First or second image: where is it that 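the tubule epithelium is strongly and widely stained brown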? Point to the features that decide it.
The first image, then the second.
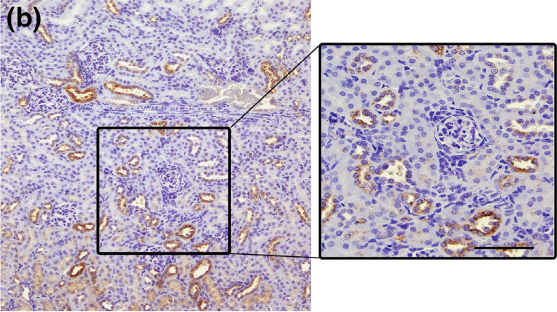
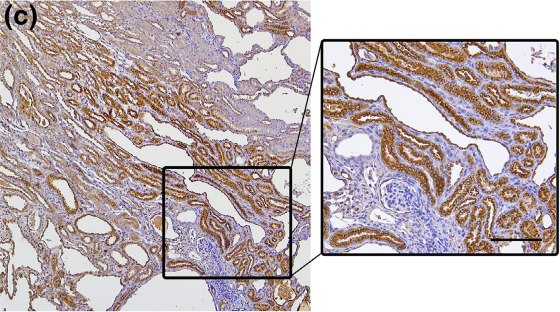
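Second image: most tubules are lined by deeply brown-stained epithelium. First image: brown stain is limited to scattered tubules, much of the tissue is blue.
The second image.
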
